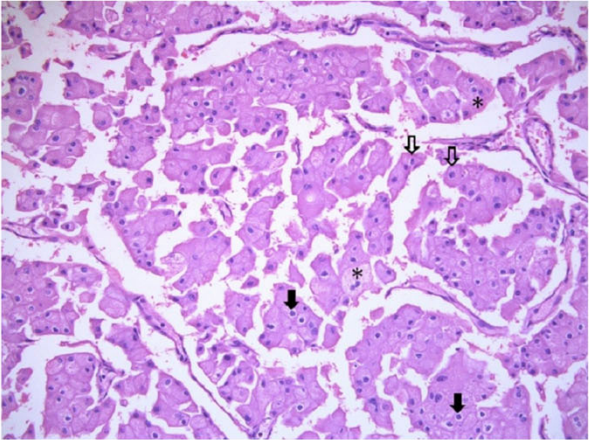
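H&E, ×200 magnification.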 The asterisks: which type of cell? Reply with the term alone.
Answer: Binucleated cells.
